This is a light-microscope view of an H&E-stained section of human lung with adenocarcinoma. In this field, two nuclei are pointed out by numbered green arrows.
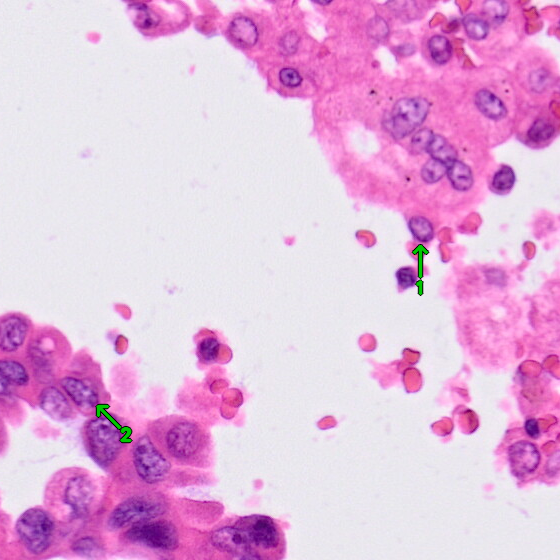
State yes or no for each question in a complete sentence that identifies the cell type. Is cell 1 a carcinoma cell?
No, it is not a carcinoma cell that bears number 1 but a macrophage or monocyte.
